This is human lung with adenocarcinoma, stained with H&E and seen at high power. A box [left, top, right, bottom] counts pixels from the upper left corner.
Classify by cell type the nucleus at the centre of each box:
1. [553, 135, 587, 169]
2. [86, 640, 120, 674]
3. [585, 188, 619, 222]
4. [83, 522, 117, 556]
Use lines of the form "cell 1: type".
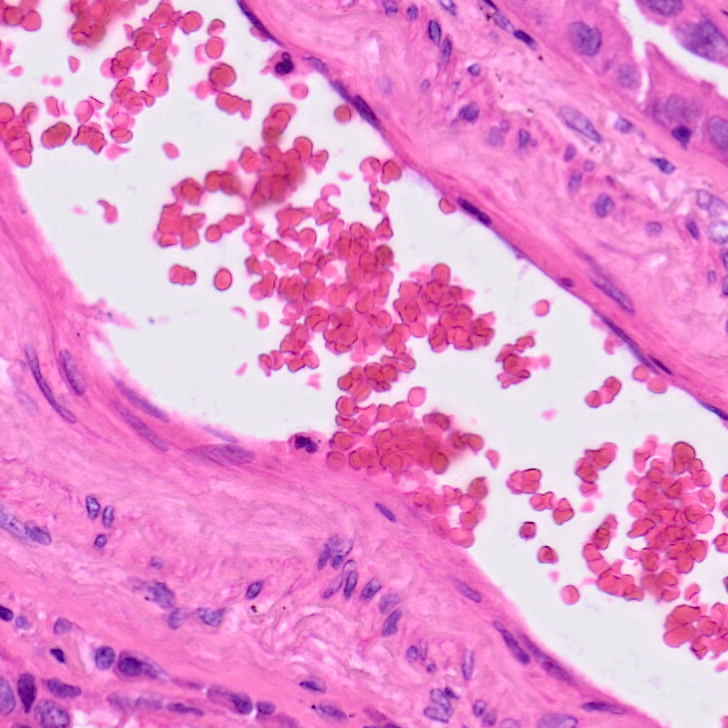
cell 1: smooth muscle cell or pericyte
cell 2: lymphocyte
cell 3: smooth muscle cell or pericyte
cell 4: smooth muscle cell or pericyte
